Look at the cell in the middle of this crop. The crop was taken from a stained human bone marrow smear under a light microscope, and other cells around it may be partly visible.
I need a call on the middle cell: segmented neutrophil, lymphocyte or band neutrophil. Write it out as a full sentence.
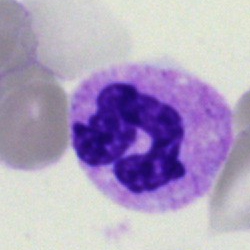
The middle of this crop is occupied by a segmented neutrophil.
